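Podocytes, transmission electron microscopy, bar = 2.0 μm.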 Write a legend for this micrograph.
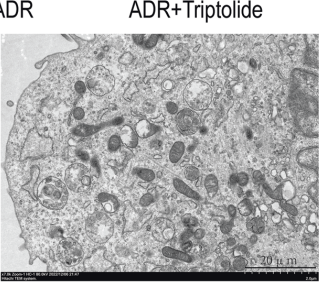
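Many elongated and rounded mitochondria with dark matrix and visible cristae lie scattered throughout. Between them are numerous membrane-bound vesicles, several enclosing cytoplasmic material or membranous whorls, consistent with autophagic vacuoles. Small clear vesicles and profiles of endoplasmic reticulum fill the remaining space. A portion of the nucleus with finely granular chromatin is seen at the right edge, and the plasma membrane bounds the cell on the left.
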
